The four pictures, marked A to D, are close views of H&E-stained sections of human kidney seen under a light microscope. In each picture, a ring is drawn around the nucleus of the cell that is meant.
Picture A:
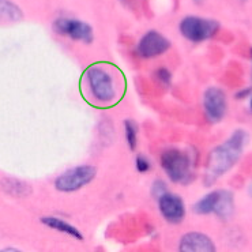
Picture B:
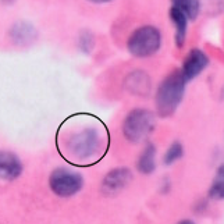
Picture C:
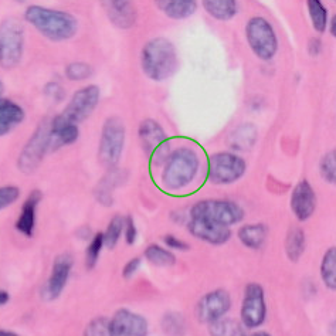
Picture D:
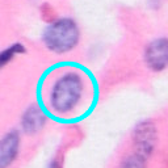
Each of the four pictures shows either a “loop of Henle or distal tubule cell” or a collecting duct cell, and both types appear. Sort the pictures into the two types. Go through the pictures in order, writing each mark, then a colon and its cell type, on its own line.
A: loop of Henle or distal tubule cell
B: loop of Henle or distal tubule cell
C: collecting duct cell
D: collecting duct cell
